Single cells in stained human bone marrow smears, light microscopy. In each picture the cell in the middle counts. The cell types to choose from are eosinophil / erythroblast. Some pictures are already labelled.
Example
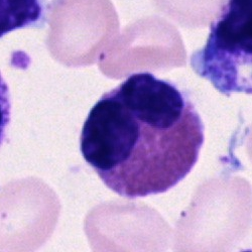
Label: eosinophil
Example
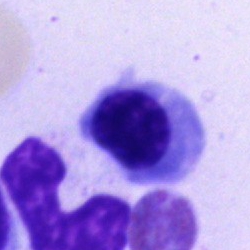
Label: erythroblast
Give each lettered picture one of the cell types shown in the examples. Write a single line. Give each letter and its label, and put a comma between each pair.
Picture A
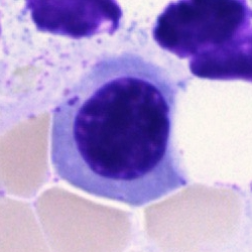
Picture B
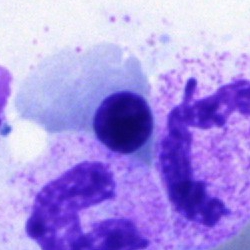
A erythroblast, B erythroblast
